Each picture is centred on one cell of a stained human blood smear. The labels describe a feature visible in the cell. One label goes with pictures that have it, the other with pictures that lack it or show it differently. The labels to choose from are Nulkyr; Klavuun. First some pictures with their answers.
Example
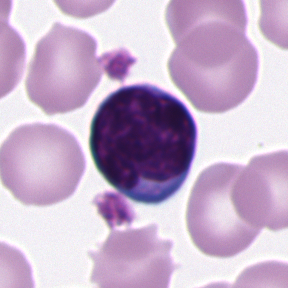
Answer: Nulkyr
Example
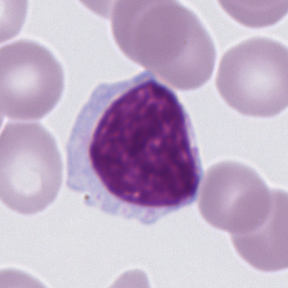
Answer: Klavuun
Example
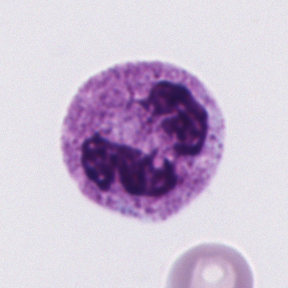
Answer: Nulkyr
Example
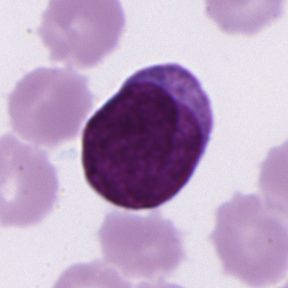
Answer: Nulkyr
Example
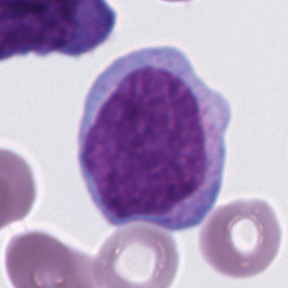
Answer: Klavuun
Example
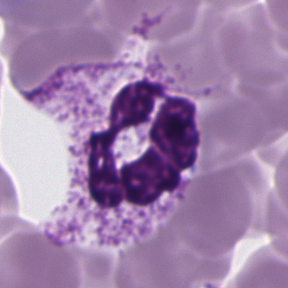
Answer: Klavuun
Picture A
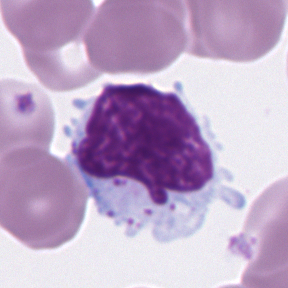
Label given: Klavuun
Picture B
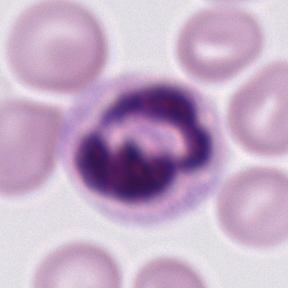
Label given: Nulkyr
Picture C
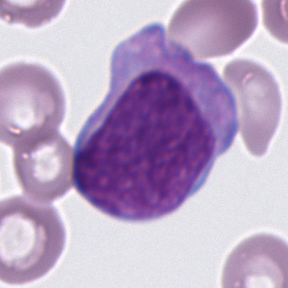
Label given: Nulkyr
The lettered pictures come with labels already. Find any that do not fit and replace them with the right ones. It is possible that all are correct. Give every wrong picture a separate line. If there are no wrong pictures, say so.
C should be Klavuun, not Nulkyr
